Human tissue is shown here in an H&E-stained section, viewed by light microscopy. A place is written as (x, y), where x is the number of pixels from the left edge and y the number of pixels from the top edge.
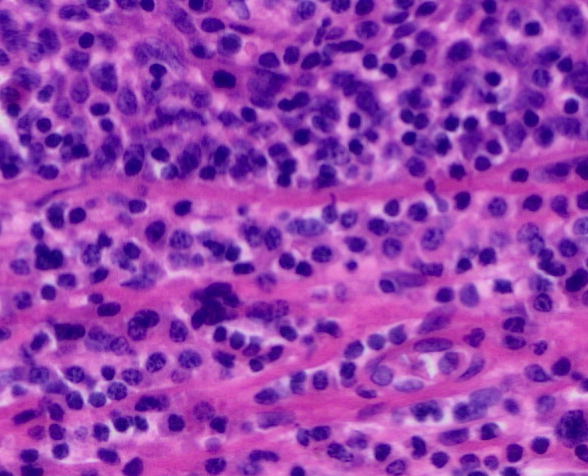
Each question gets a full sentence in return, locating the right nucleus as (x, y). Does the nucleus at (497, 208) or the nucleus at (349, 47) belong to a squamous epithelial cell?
The nucleus of a squamous epithelial cell lies at (349, 47), not at the other position.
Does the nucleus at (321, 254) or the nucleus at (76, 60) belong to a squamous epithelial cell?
The cell to which the nucleus at (76, 60) belongs is a squamous epithelial cell.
